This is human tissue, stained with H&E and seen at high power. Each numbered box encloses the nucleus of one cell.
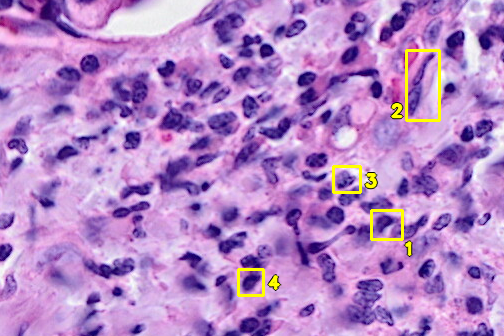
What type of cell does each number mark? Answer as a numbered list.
1. lymphocyte
2. endothelial cell
3. lymphocyte
4. lymphocyte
